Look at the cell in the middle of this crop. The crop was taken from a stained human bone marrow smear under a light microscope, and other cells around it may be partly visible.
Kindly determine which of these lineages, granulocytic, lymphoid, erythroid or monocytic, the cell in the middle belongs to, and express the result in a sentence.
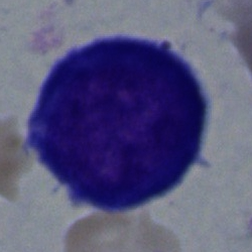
The lineage to which the central cell belongs is the erythroid lineage.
